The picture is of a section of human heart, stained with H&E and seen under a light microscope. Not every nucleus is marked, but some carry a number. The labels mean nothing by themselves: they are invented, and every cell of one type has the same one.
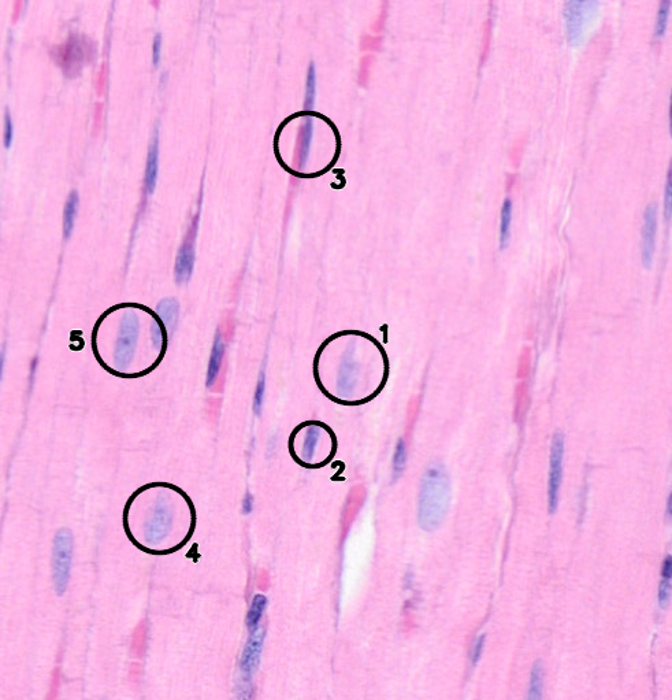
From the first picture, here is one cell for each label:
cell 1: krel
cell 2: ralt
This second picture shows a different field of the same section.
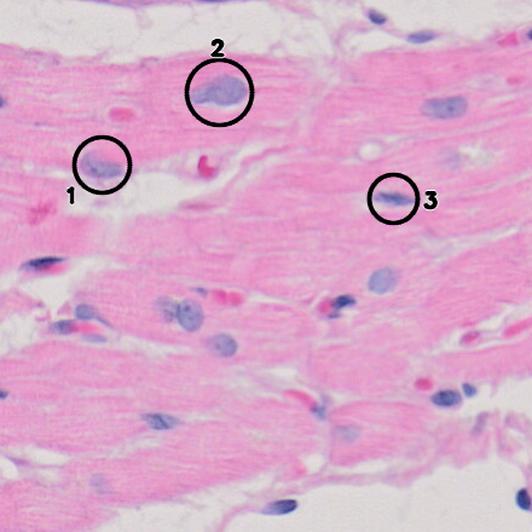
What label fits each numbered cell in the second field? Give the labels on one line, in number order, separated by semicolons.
krel; krel; ralt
